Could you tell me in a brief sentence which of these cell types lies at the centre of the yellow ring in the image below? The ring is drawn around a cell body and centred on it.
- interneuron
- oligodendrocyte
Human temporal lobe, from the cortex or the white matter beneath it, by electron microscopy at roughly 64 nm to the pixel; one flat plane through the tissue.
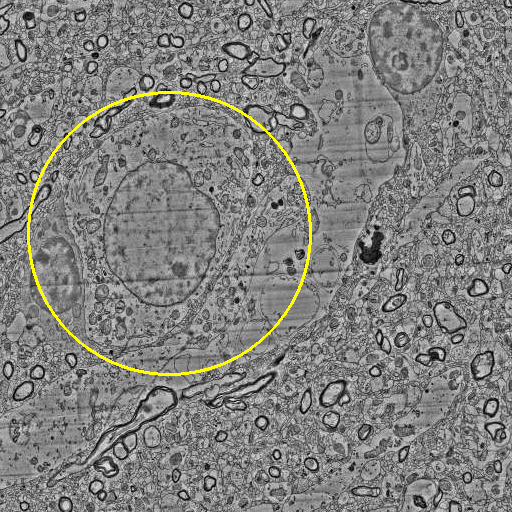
The cell centred in the ring is an interneuron.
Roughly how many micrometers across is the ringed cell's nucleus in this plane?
The nucleus works out at approximately 9 by 8 micrometres in this plane.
